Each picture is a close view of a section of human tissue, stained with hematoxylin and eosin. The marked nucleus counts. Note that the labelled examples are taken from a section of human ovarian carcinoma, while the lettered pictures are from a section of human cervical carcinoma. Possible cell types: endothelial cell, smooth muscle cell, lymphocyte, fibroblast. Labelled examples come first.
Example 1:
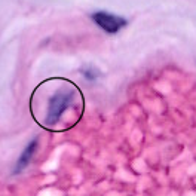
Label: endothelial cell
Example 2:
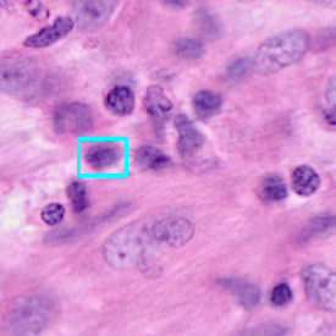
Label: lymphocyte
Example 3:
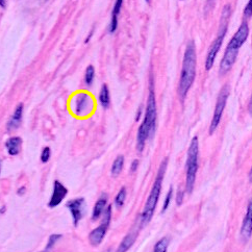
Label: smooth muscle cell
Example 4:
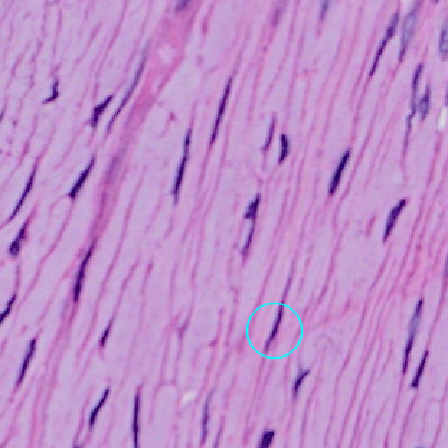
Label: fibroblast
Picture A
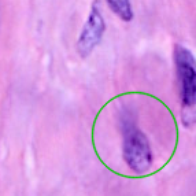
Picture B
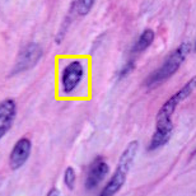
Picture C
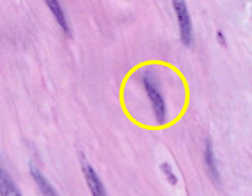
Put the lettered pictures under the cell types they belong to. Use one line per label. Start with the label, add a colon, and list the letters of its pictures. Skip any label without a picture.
lymphocyte: B
fibroblast: A, C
